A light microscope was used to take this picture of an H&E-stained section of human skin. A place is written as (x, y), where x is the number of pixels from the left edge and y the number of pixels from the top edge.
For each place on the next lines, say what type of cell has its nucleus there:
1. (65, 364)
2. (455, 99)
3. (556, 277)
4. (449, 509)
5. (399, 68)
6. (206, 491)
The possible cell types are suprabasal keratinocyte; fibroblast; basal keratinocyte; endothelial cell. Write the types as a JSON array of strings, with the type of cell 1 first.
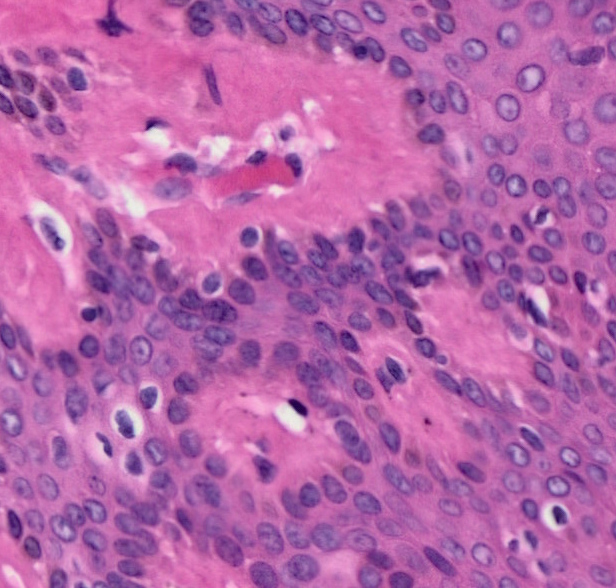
["basal keratinocyte", "suprabasal keratinocyte", "basal keratinocyte", "suprabasal keratinocyte", "basal keratinocyte", "basal keratinocyte"]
